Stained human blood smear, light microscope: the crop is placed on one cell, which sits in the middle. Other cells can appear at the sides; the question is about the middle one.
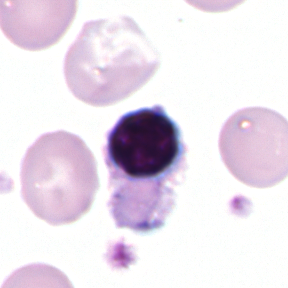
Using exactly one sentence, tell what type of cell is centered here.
Located at the centre of the crop is an erythroblast.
